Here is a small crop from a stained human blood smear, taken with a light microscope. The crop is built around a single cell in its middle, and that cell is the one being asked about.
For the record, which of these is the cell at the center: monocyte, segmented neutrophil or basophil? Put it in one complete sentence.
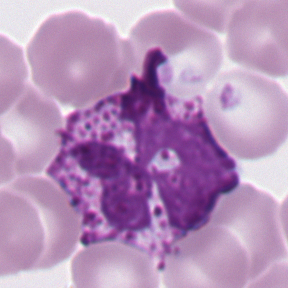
Where the crop is centred, there is a basophil.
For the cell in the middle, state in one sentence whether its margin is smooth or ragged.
Along its border, the cell is uneven, whether by ragged stretches or by projections.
